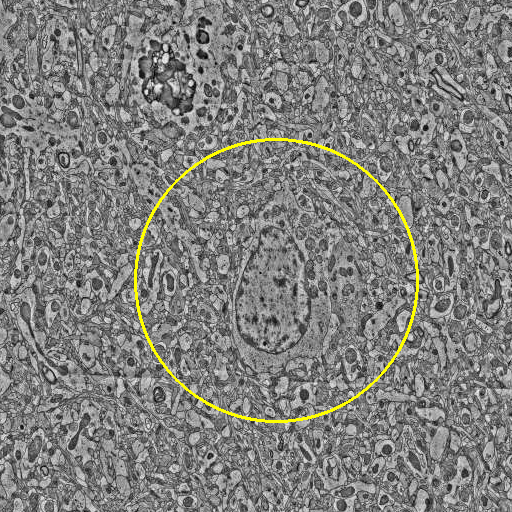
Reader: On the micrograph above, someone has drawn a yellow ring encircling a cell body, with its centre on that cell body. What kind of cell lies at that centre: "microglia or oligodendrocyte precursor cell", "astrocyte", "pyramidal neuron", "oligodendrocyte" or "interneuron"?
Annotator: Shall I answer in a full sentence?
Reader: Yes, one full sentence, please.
Here an interneuron sits at the centre of the yellow ring drawn on the micrograph.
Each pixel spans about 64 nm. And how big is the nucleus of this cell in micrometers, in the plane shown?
The nucleus is approximately 8 micrometres long but only about 5 wide, clearly longer than it is wide in this plane.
